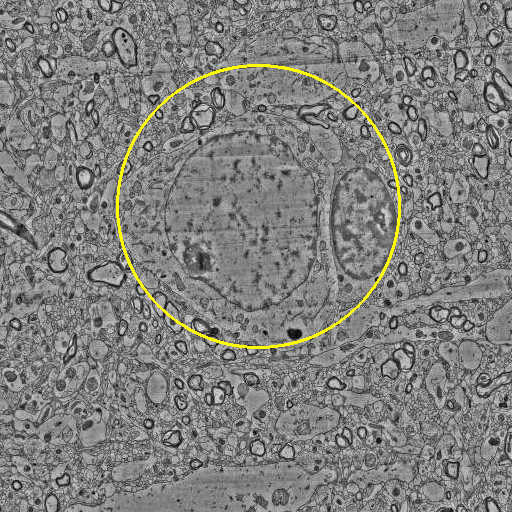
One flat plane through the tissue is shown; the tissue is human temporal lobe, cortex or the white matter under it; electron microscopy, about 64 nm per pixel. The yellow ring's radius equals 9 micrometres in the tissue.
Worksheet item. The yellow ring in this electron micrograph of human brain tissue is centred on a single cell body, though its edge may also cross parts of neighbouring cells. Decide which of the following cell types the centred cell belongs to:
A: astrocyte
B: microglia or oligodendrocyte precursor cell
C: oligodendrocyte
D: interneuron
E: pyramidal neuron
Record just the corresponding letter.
D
